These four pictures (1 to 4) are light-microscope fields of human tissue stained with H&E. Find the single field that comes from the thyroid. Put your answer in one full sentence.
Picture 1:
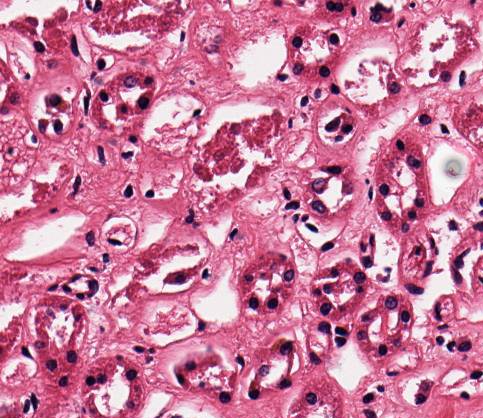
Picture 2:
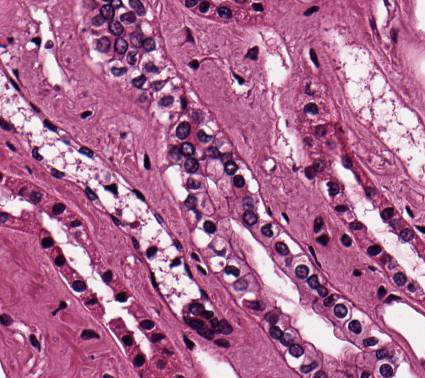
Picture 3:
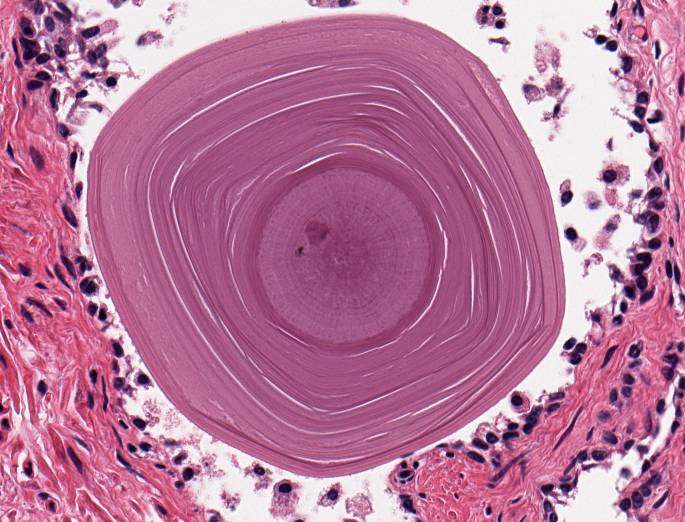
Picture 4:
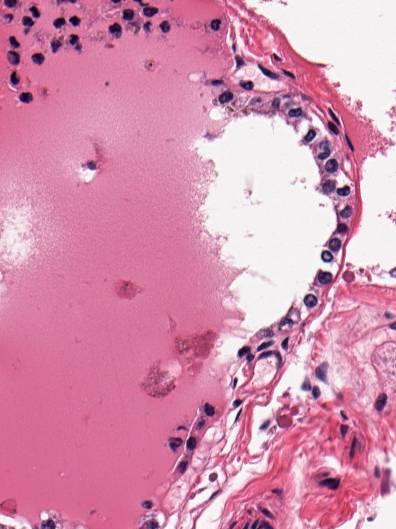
The one that comes from the thyroid is picture 4.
